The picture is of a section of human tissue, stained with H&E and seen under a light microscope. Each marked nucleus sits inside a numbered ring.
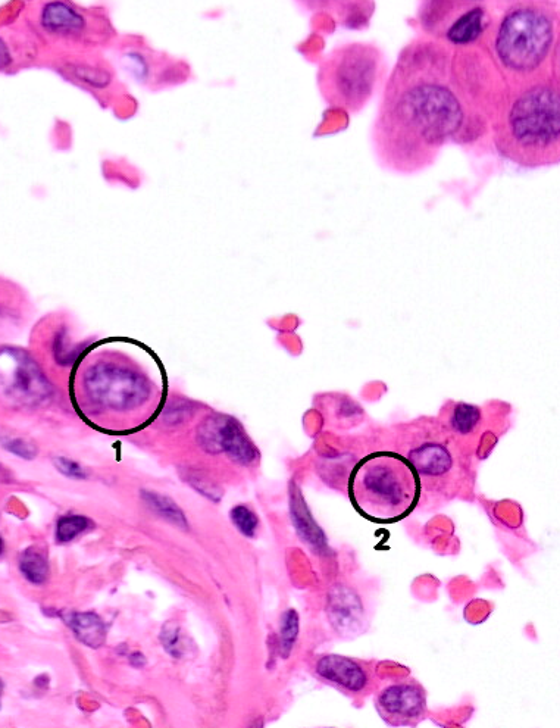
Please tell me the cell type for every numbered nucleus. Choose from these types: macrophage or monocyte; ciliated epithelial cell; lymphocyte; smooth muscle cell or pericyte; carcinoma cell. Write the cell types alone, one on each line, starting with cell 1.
carcinoma cell
macrophage or monocyte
